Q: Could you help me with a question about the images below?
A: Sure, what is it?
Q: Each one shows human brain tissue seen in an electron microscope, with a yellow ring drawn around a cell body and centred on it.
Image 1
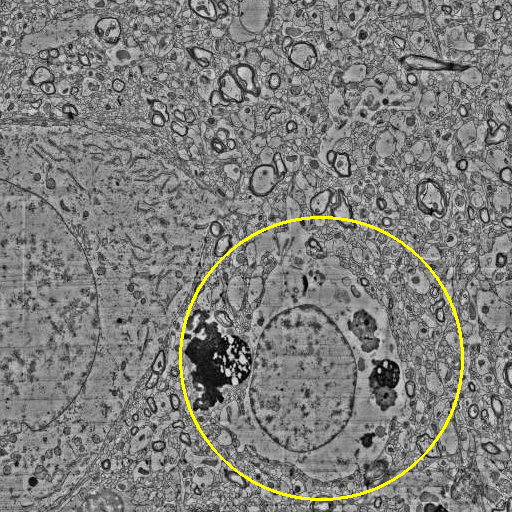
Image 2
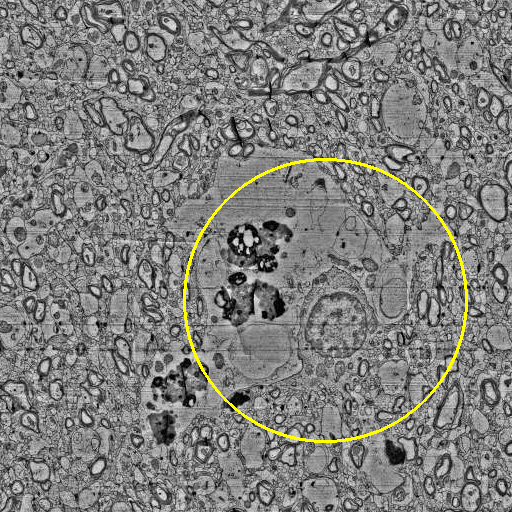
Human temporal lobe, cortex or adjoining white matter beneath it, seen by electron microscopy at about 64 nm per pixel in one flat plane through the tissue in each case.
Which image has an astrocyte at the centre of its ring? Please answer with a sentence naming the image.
Image 1 has it at the centre of its ring.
